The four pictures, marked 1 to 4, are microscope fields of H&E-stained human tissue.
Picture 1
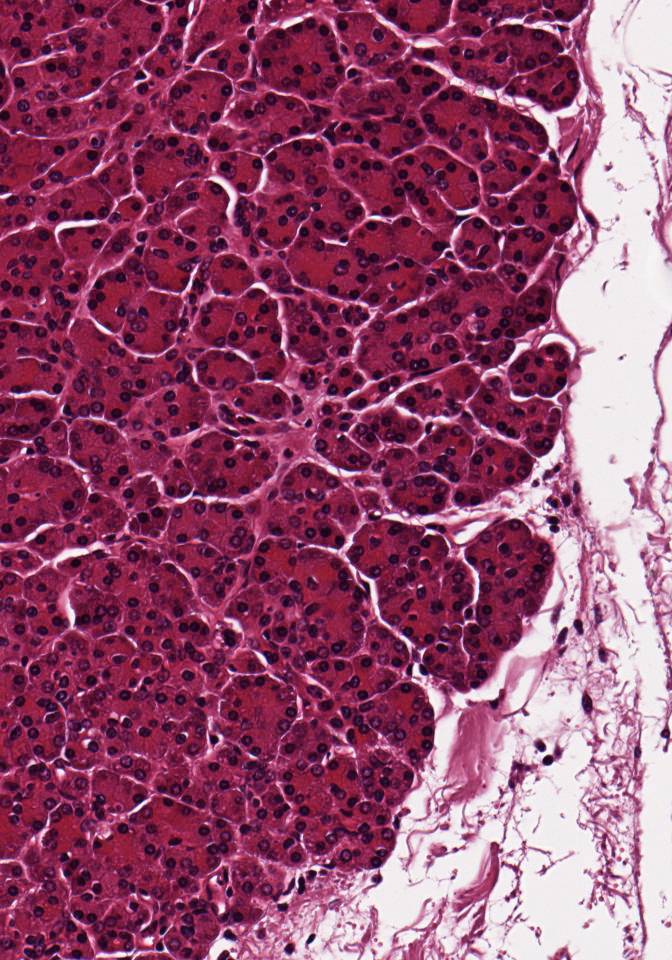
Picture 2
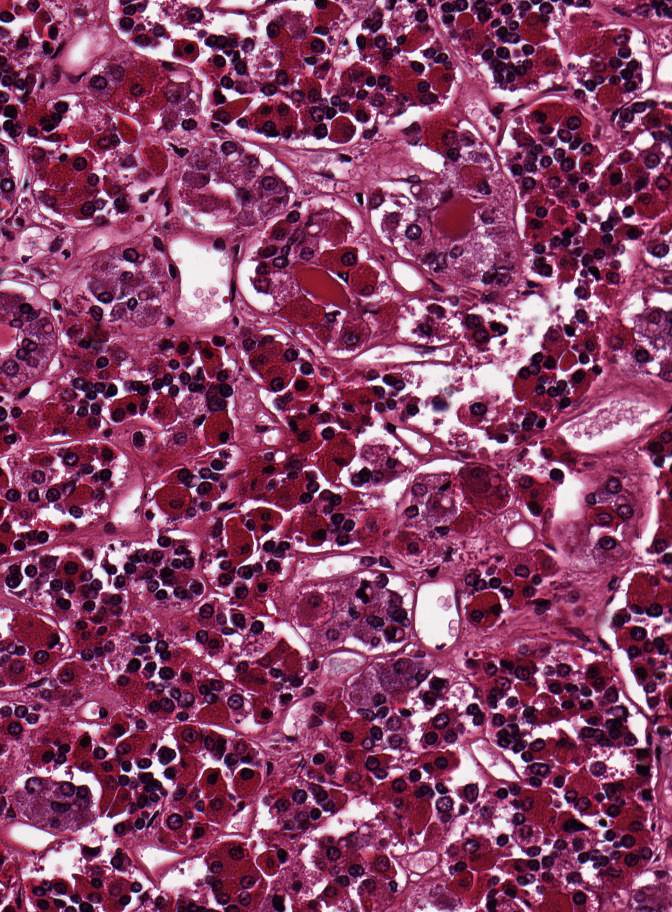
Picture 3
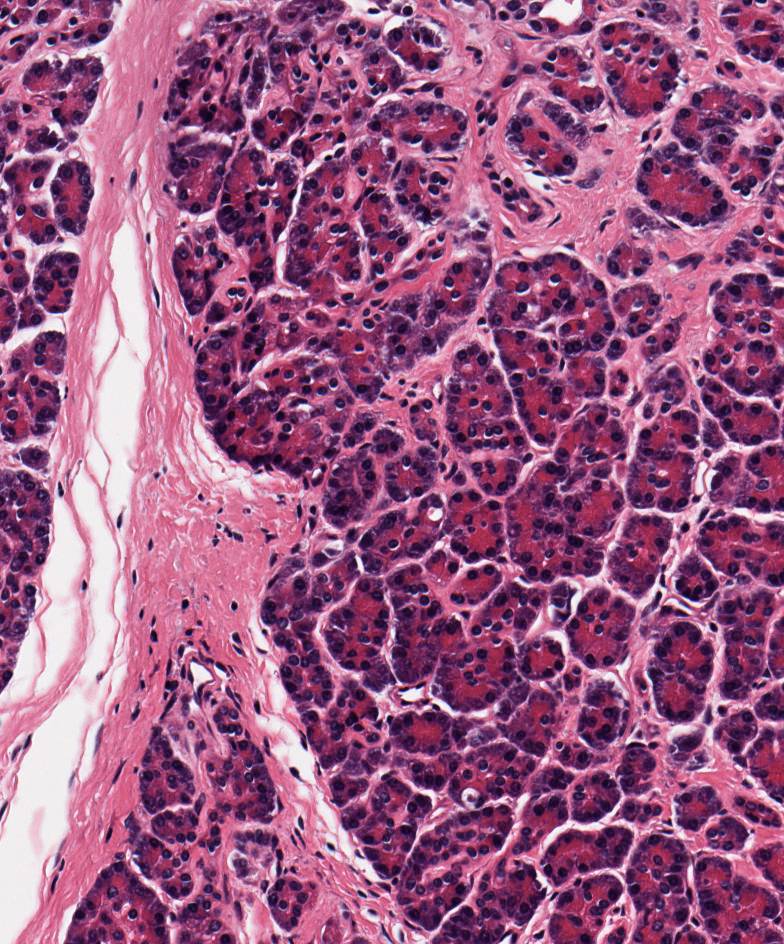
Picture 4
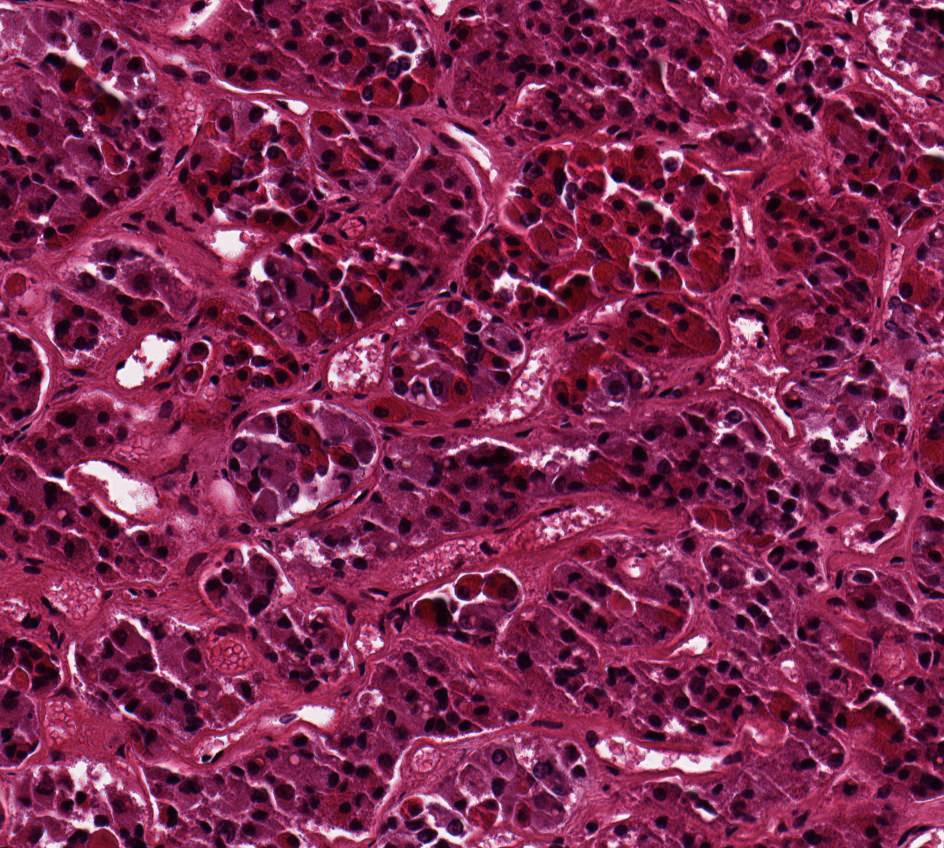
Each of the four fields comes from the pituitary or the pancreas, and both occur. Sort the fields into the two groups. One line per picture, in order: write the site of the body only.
pancreas
pituitary
pancreas
pituitary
